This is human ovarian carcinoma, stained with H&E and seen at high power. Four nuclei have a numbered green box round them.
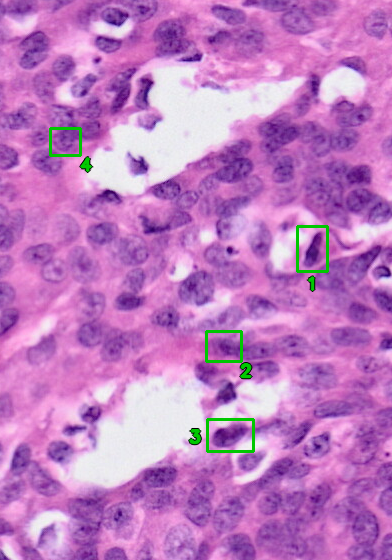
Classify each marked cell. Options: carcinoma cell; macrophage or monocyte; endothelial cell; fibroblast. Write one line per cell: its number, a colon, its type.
1: macrophage or monocyte
2: carcinoma cell
3: carcinoma cell
4: carcinoma cell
